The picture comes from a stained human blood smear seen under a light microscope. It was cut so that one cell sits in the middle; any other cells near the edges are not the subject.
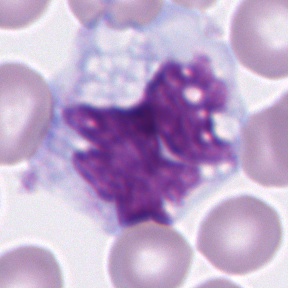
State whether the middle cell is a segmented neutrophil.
no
